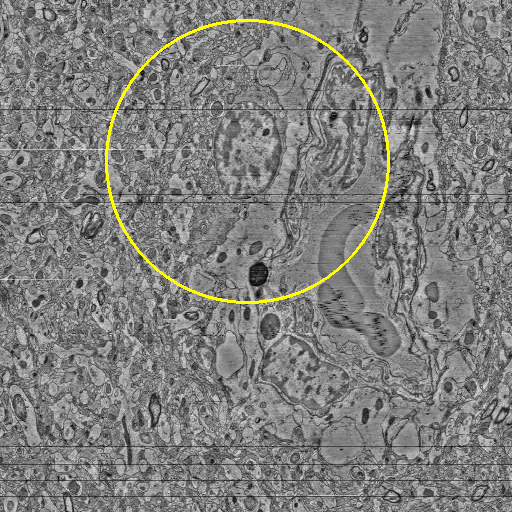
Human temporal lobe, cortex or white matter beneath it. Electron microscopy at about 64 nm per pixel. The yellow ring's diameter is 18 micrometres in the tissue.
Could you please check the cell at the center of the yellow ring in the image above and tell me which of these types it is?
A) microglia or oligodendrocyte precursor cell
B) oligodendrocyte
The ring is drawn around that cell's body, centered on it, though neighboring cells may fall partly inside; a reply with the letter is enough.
B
